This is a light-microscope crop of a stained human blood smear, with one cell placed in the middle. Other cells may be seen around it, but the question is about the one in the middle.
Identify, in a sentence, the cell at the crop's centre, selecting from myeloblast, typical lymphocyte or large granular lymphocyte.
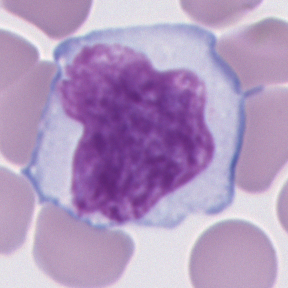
Within this crop, a myeloblast occupies the central position.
